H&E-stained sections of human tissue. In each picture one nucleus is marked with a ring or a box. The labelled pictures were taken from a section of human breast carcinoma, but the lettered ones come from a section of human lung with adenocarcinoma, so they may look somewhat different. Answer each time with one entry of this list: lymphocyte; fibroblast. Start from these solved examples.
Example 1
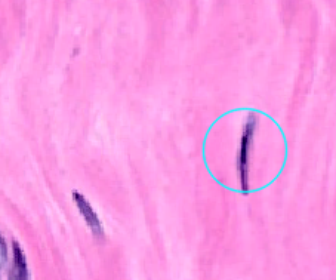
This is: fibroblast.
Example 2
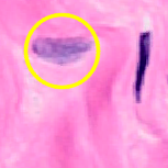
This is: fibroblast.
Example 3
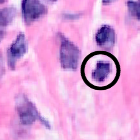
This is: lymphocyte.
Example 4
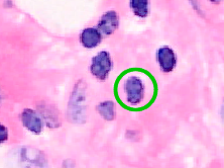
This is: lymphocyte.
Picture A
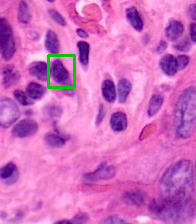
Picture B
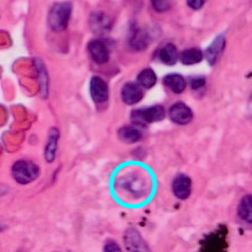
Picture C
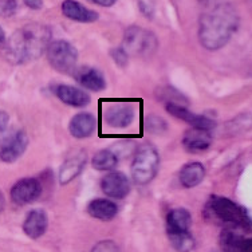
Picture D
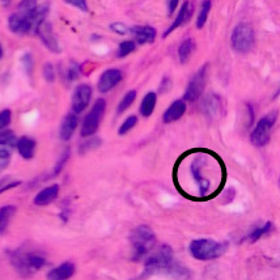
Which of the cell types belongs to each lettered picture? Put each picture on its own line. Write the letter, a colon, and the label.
A: lymphocyte.
B: fibroblast.
C: lymphocyte.
D: fibroblast.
